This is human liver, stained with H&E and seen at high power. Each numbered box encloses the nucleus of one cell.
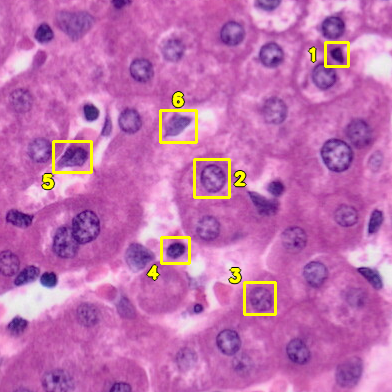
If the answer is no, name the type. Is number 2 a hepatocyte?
Yes.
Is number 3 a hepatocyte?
Yes.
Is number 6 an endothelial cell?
Yes.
